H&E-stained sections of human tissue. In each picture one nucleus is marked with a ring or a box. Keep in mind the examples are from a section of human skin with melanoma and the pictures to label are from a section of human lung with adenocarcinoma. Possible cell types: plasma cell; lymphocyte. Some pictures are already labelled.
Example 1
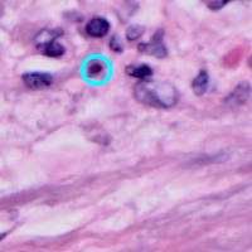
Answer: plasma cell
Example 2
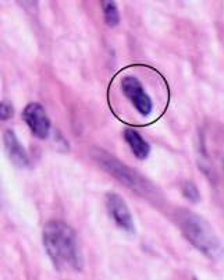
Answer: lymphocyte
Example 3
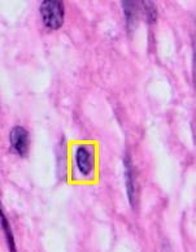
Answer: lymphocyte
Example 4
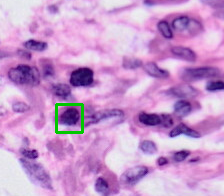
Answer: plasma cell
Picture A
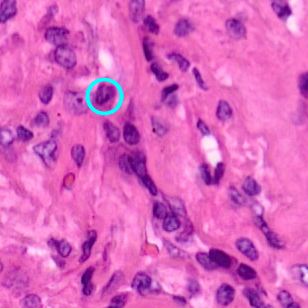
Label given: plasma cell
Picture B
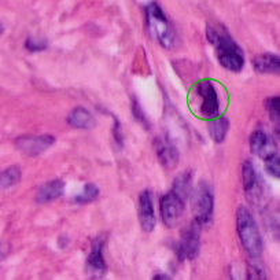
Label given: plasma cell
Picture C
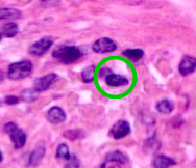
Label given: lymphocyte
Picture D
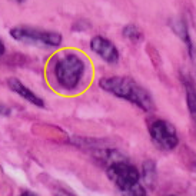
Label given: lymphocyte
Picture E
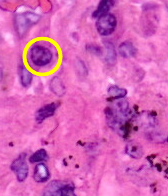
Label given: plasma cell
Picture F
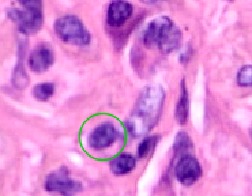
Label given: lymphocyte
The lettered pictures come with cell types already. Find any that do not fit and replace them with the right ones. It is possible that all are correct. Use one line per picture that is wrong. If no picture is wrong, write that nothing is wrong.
D is labelled lymphocyte; correct label: plasma cell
